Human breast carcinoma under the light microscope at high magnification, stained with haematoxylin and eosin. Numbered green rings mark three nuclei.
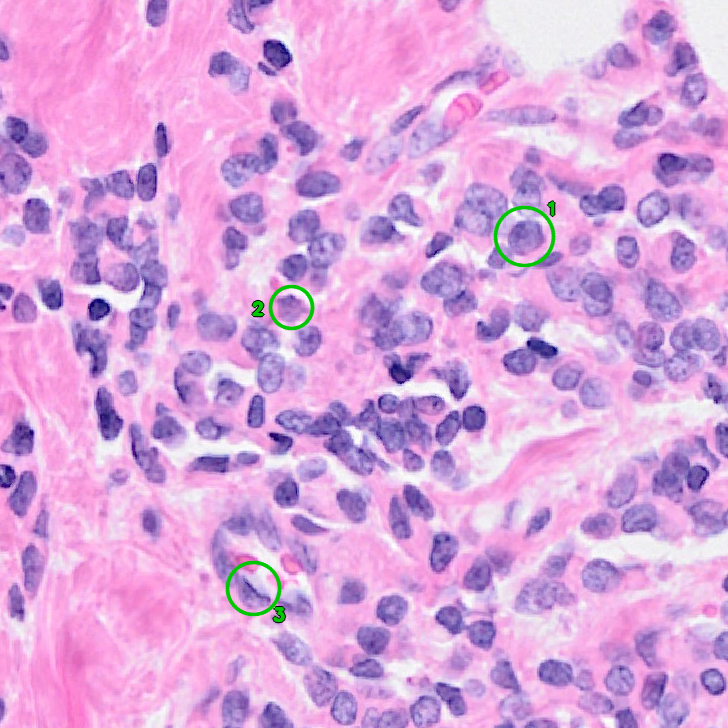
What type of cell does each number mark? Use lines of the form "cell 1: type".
cell 1: carcinoma cell
cell 2: carcinoma cell
cell 3: endothelial cell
